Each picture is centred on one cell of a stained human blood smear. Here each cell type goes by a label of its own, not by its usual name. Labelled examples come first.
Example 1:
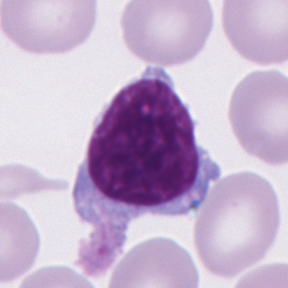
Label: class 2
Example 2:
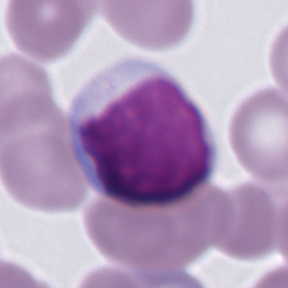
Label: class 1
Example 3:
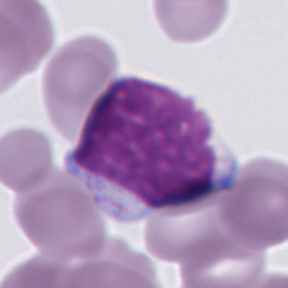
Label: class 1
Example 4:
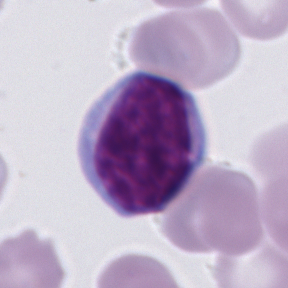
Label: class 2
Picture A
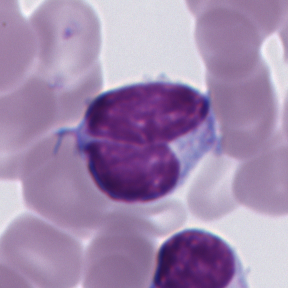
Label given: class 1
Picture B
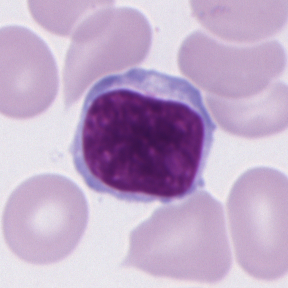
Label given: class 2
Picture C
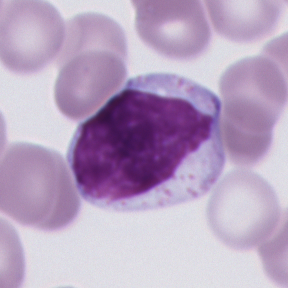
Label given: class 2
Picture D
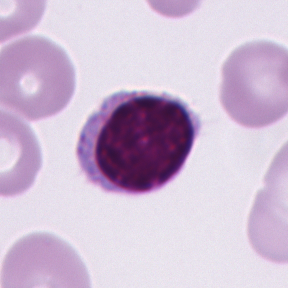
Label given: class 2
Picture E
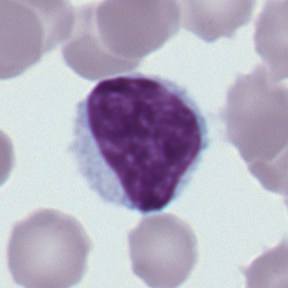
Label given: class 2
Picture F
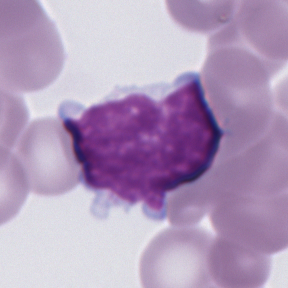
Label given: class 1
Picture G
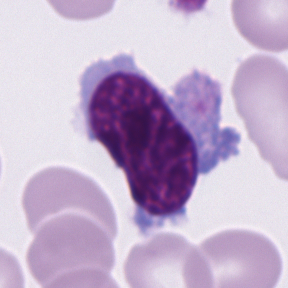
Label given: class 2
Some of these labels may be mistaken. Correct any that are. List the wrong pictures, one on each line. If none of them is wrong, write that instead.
Wrong: C (class 2); correct: class 1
